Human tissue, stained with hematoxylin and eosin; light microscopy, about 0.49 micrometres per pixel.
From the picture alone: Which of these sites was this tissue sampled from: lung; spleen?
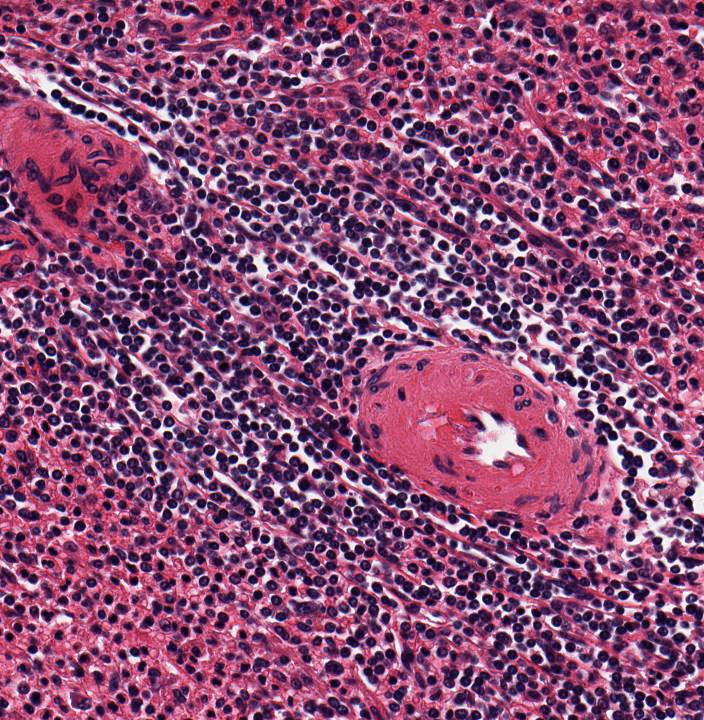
spleen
